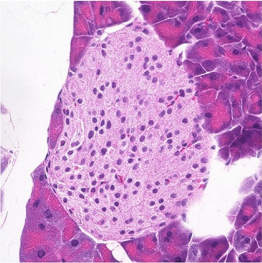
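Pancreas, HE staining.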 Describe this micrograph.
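Pancreatic islet: a large, pale-staining cluster of endocrine cells set against darker exocrine acini. The islet cells have pale pink cytoplasm and round nuclei scattered fairly evenly through the cluster. The surrounding acinar cells have intensely pink-purple cytoplasm and dark nuclei. A clear white space borders the tissue at the lower right.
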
